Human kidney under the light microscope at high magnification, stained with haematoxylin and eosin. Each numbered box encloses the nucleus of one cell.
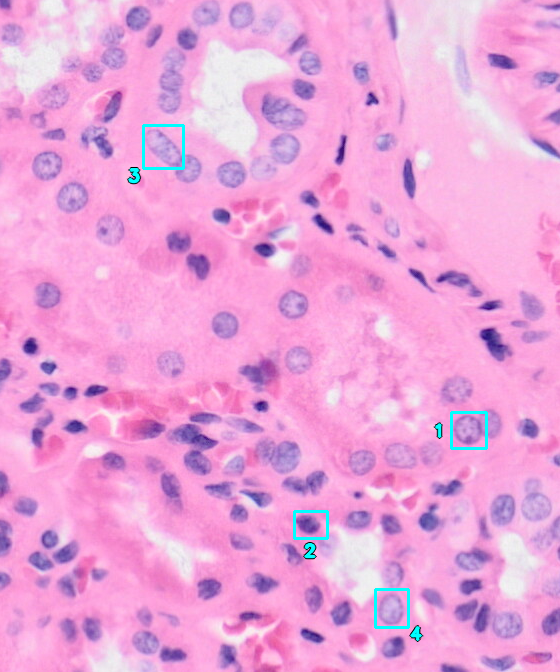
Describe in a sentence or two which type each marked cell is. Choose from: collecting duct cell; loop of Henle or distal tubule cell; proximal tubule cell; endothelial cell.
Cell 1 is a proximal tubule cell, cell 2 is a loop of Henle or distal tubule cell, cell 3 is a collecting duct cell and cell 4 is a loop of Henle or distal tubule cell.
